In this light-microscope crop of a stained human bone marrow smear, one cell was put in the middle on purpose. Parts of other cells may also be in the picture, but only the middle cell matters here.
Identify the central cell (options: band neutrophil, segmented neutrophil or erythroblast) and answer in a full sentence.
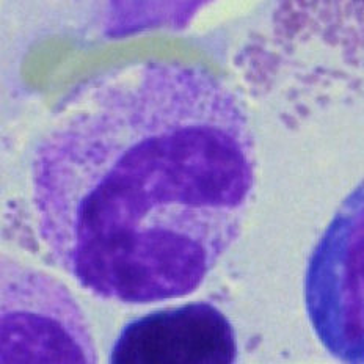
The cell at the central position in this crop is a band neutrophil.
